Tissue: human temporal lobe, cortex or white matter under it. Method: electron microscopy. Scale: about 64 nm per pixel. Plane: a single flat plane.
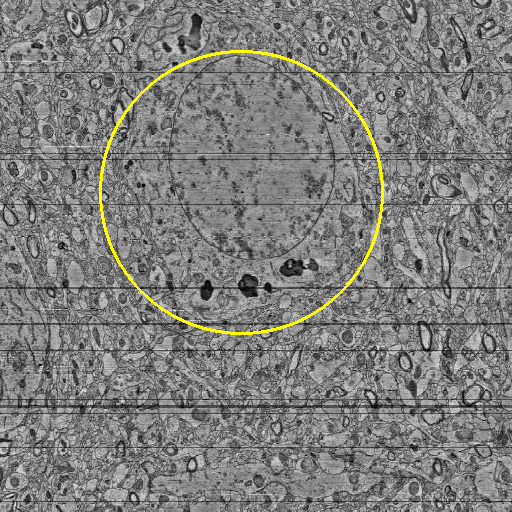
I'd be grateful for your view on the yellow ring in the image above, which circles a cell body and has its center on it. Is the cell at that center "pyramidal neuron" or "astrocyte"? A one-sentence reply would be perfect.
The cell at the center of the yellow ring is a pyramidal neuron.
